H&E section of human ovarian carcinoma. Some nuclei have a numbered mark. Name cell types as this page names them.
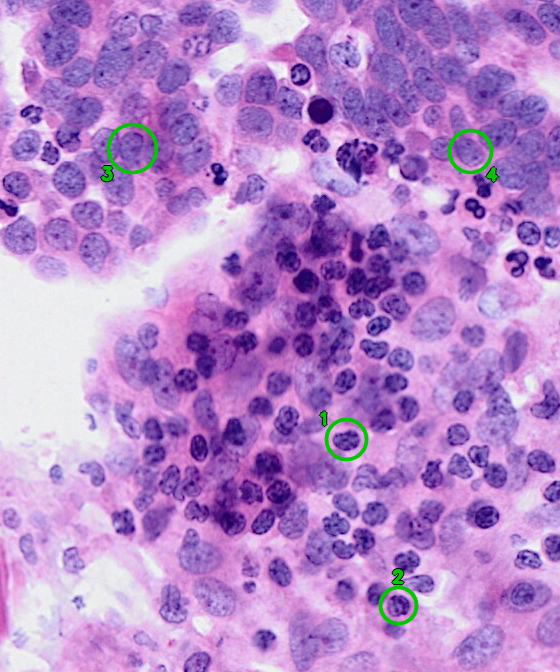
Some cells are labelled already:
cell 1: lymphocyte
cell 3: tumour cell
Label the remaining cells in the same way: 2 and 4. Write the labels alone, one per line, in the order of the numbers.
lymphocyte
tumour cell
